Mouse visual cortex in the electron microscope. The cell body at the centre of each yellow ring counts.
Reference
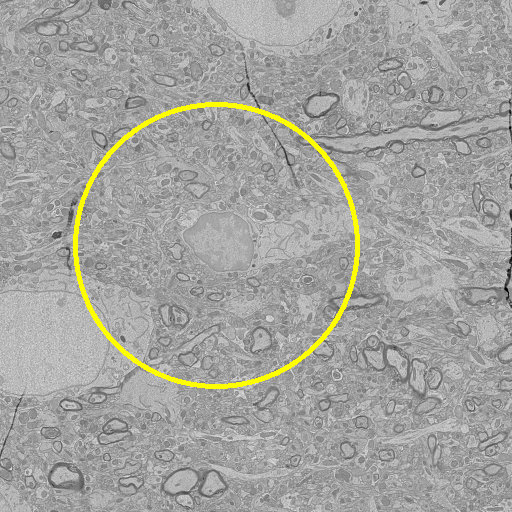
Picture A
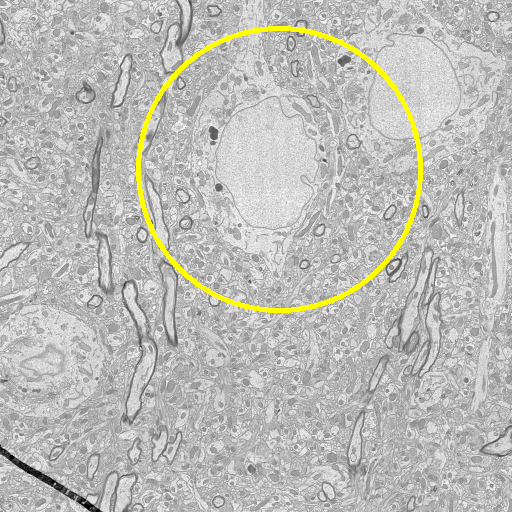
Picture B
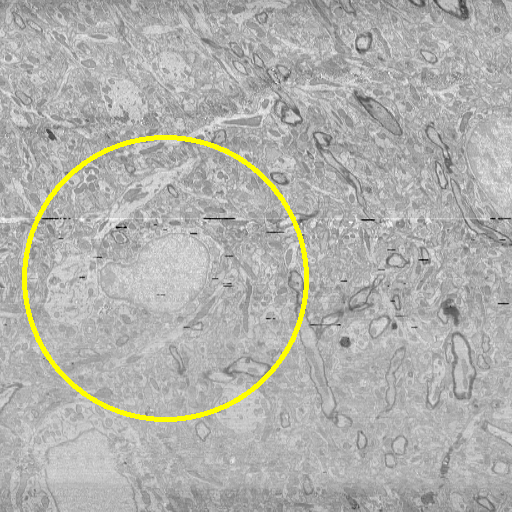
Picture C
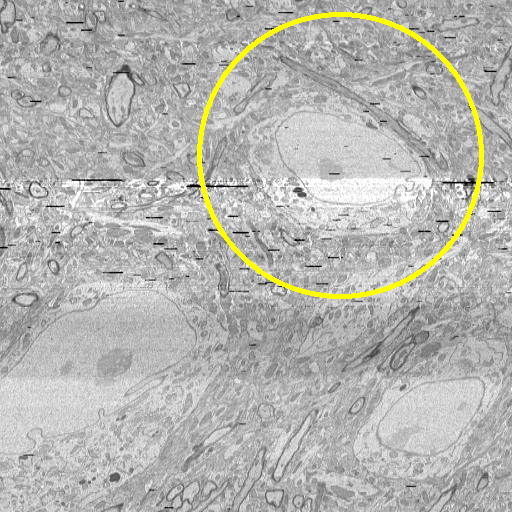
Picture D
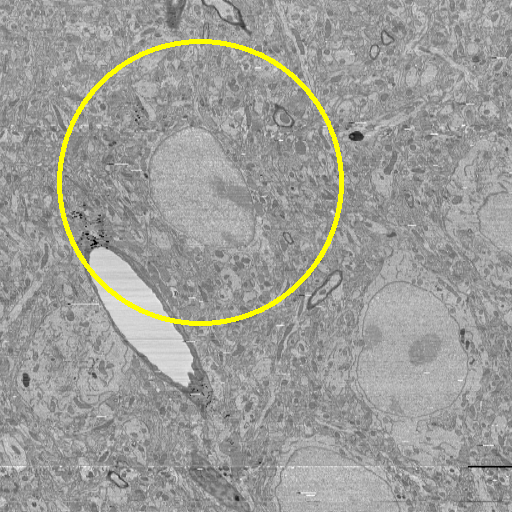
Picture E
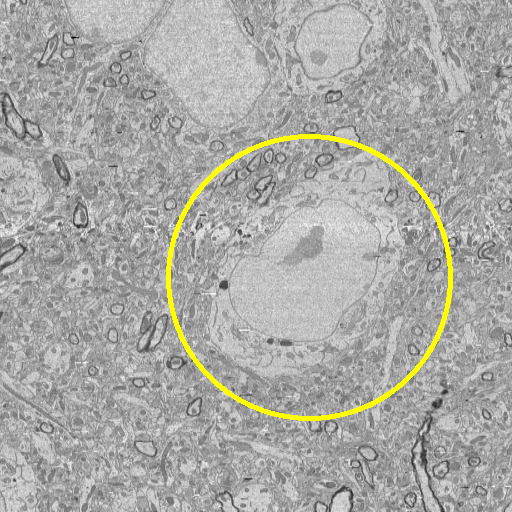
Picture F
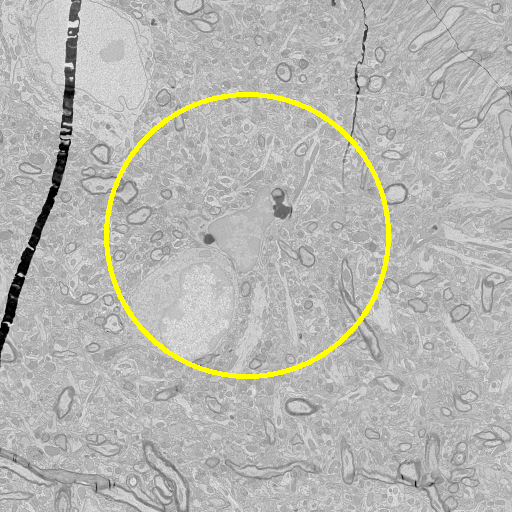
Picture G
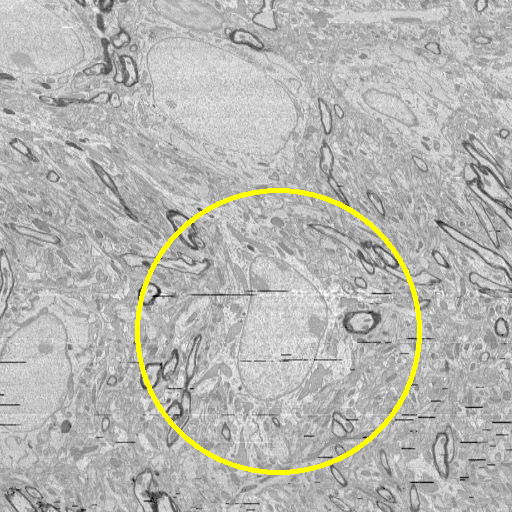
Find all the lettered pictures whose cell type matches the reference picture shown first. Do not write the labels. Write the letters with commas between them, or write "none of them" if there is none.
F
